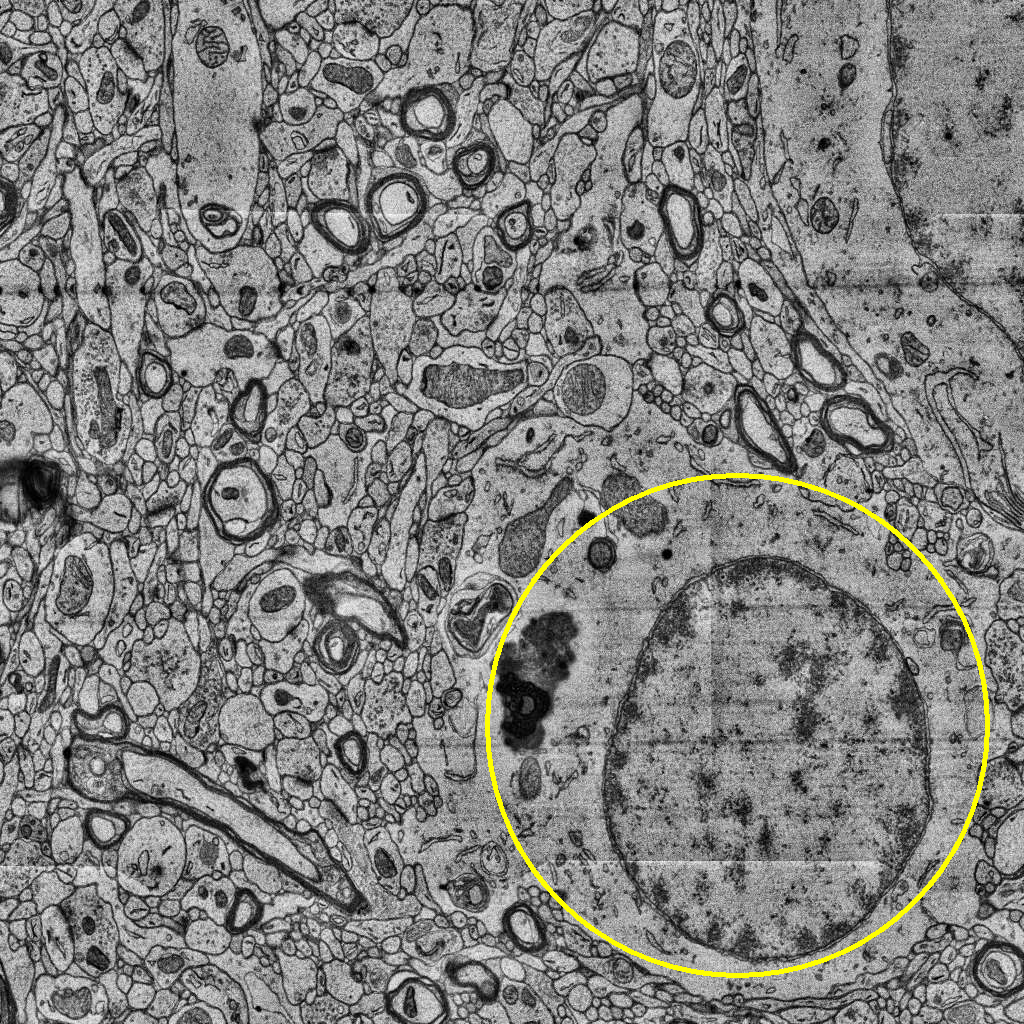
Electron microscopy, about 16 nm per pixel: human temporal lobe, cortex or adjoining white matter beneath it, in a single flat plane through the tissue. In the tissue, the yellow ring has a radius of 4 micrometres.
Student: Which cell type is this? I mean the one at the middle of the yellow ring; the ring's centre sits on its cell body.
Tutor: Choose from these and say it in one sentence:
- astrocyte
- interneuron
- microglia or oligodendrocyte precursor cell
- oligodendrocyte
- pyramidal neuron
The cell at the ring's centre is an astrocyte.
